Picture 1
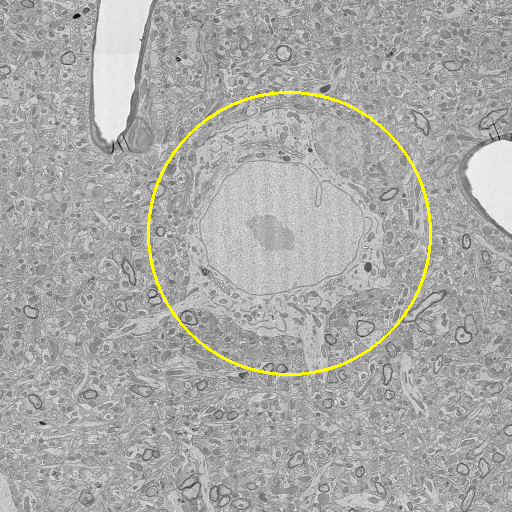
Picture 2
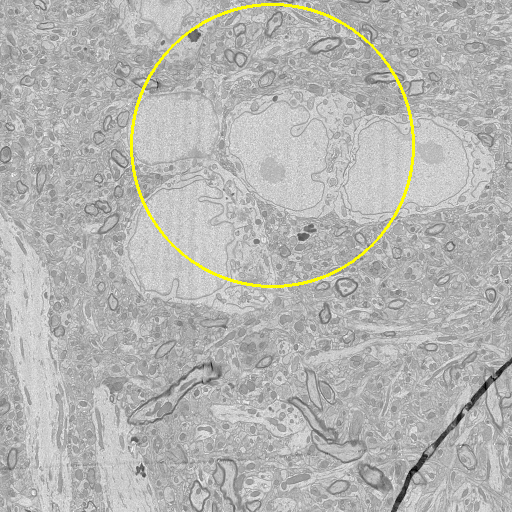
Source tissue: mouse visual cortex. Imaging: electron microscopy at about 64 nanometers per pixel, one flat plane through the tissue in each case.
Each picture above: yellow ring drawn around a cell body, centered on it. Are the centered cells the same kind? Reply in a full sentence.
Yes, the two cells are the same kind.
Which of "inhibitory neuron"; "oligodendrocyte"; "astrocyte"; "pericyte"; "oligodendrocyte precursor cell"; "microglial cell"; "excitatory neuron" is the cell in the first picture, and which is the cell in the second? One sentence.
Each of the two cells is an excitatory neuron.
